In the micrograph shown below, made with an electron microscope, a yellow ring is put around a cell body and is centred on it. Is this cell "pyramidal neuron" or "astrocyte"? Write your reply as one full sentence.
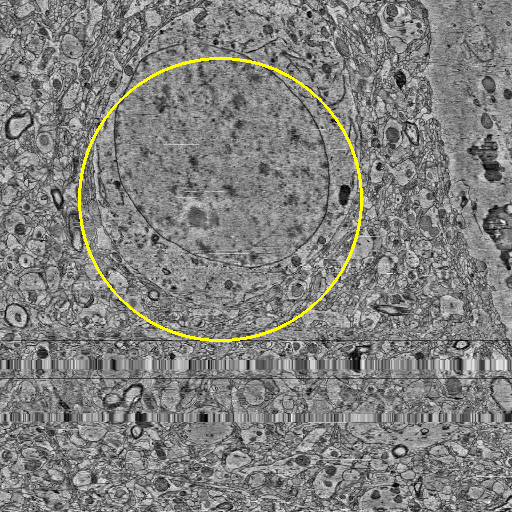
In the micrograph, a pyramidal neuron is the cell at the centre of the yellow ring.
